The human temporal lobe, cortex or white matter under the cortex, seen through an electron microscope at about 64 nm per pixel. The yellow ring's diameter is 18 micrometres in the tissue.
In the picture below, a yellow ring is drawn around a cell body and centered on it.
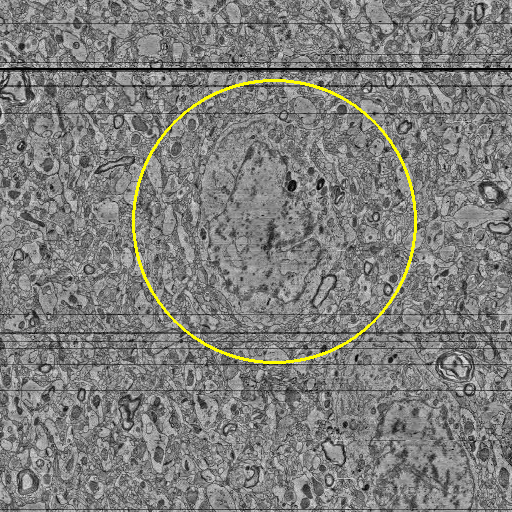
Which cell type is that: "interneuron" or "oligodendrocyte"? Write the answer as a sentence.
The cell centered in the ring is an interneuron.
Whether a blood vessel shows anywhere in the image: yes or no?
No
